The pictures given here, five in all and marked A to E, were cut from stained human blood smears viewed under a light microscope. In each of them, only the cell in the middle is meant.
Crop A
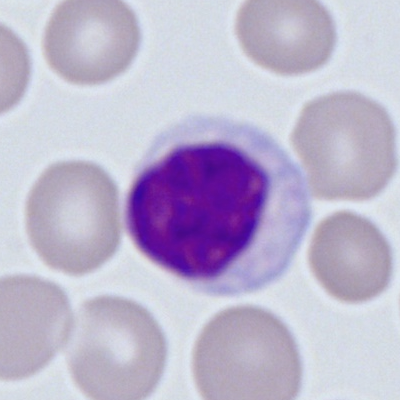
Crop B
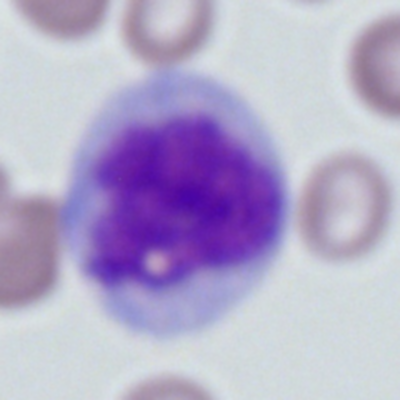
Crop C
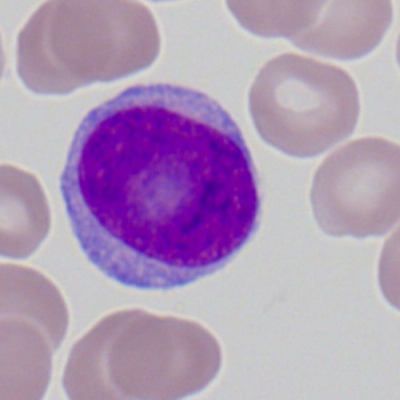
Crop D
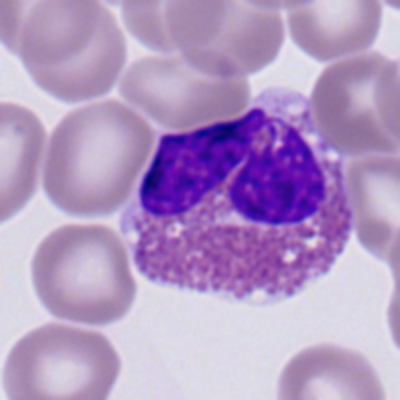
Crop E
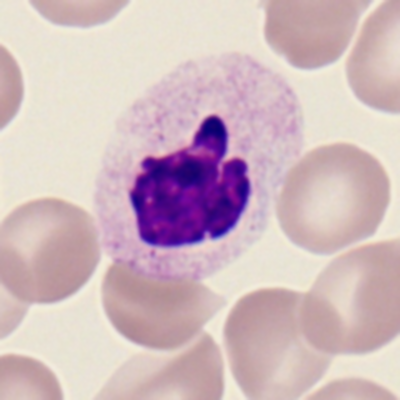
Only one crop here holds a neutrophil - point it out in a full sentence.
Crop E is the one depicting a neutrophil.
